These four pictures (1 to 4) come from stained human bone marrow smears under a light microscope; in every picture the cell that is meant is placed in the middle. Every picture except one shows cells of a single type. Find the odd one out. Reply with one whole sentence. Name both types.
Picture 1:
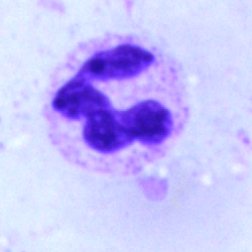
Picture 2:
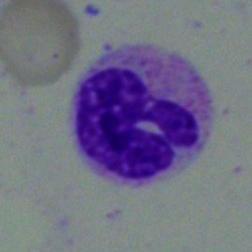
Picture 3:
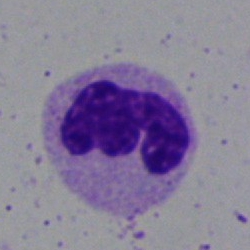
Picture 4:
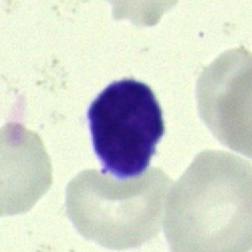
Picture 4 differs, because its cell is a lymphocyte and the rest are segmented neutrophils.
